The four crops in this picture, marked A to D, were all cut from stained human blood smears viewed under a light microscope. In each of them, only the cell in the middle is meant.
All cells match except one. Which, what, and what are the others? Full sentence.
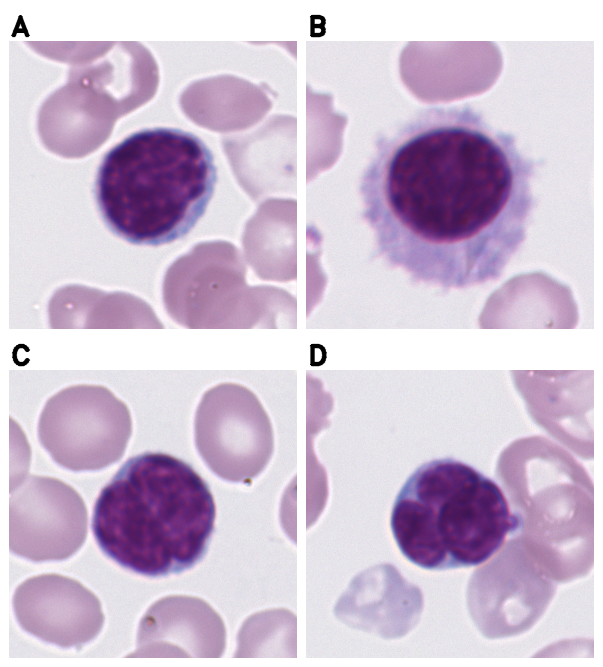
Apart from crop B, which shows a hairy cell, every crop shows typical lymphocytes.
